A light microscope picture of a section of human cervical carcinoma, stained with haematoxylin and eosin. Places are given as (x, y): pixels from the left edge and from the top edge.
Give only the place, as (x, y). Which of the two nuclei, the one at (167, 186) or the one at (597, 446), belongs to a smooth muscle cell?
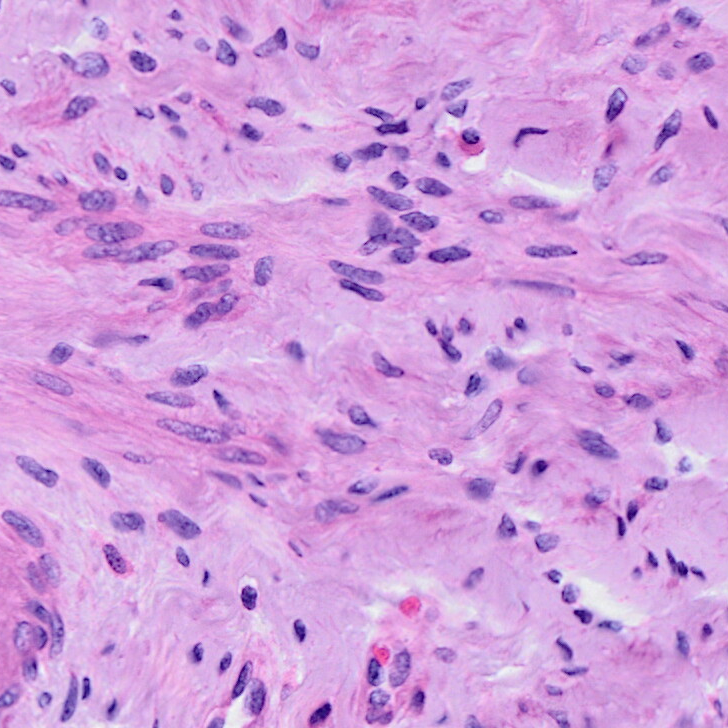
(167, 186)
